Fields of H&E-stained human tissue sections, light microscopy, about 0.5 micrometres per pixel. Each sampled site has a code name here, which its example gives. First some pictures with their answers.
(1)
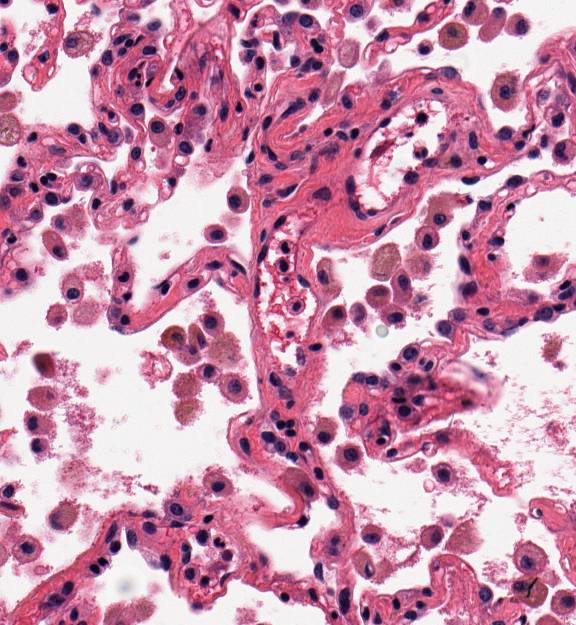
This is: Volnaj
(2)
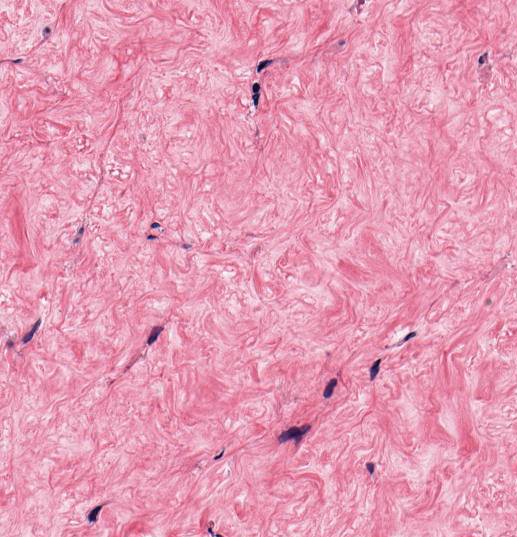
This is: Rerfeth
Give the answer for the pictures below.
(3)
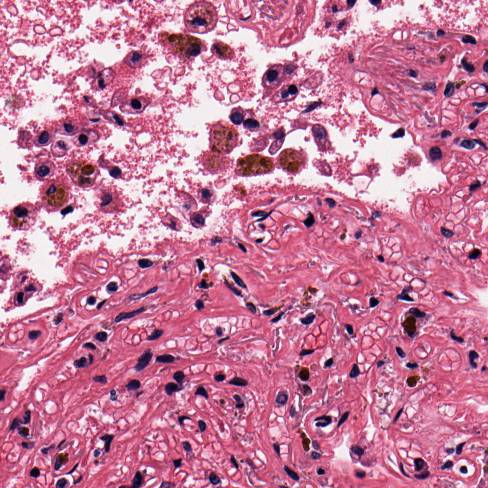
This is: Volnaj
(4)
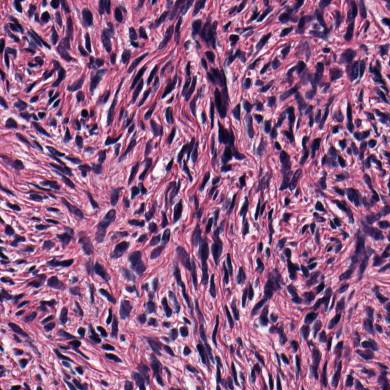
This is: Rerfeth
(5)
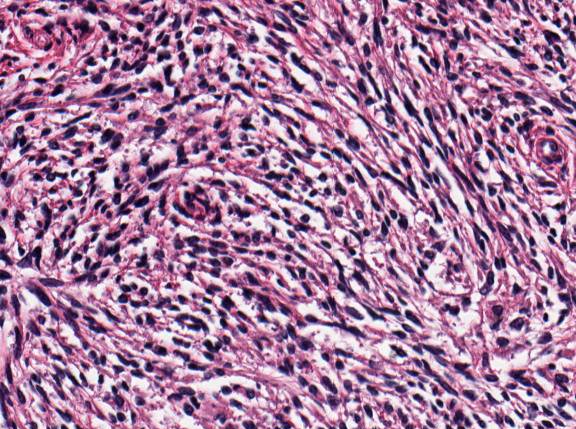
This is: Rerfeth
